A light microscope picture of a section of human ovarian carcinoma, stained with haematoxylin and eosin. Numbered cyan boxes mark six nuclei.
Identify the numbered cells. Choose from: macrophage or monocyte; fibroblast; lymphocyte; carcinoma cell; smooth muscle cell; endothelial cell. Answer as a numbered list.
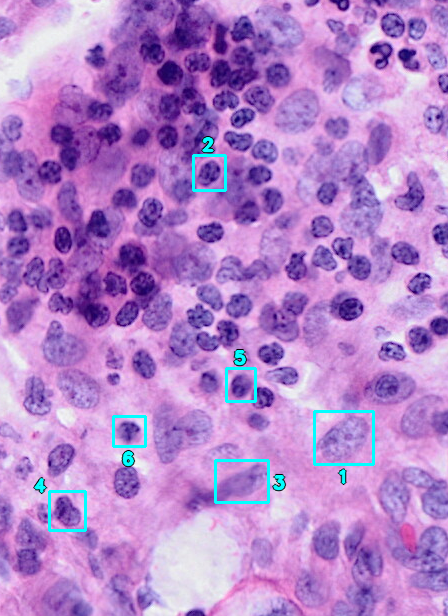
1. fibroblast
2. lymphocyte
3. fibroblast
4. lymphocyte
5. lymphocyte
6. lymphocyte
